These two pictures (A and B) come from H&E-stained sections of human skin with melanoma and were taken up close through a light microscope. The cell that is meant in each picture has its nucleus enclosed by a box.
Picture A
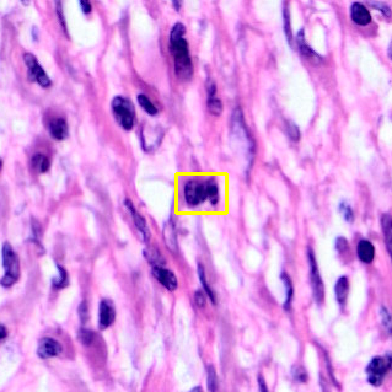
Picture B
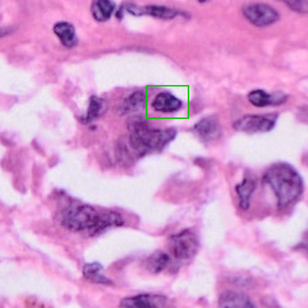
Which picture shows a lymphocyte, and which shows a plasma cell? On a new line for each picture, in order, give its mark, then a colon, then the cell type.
A: plasma cell
B: lymphocyte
